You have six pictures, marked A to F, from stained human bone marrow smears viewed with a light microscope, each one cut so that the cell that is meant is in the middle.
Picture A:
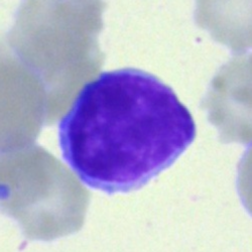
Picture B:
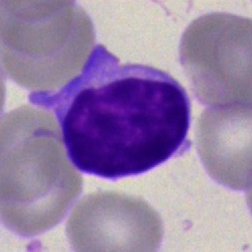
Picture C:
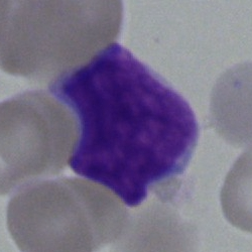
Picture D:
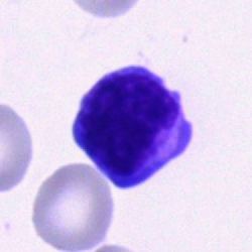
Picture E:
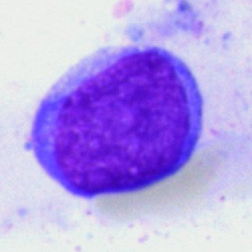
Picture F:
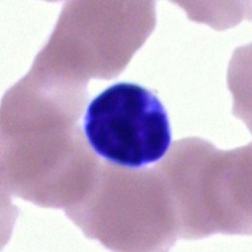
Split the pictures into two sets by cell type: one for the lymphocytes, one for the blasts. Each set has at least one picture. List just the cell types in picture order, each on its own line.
lymphocyte
lymphocyte
blast
blast
blast
lymphocyte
